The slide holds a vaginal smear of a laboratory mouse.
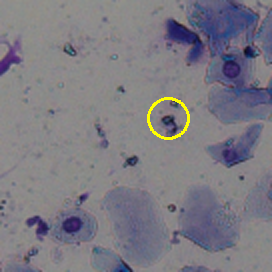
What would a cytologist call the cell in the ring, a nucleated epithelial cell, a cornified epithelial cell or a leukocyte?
A cytologist would call it a leukocyte.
